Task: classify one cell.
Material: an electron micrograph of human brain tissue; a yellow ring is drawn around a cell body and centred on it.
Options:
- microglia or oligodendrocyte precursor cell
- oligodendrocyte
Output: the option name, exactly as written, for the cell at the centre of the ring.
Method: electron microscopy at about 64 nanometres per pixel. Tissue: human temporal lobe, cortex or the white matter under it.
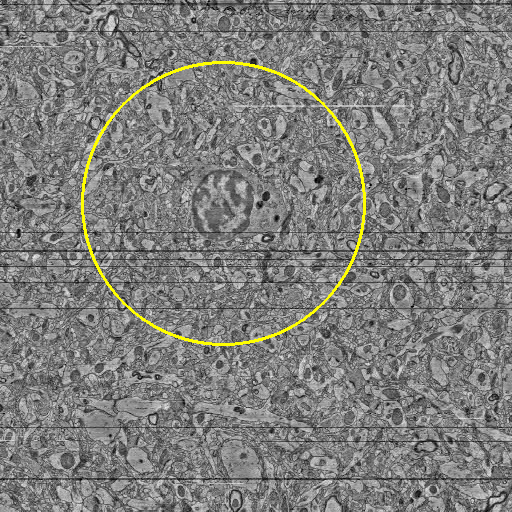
oligodendrocyte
